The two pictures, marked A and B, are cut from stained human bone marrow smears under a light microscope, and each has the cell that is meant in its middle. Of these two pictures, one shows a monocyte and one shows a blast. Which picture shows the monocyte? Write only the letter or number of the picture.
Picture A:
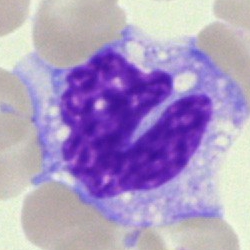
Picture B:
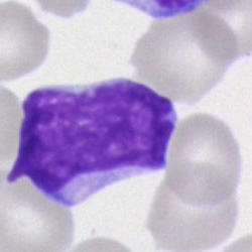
A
